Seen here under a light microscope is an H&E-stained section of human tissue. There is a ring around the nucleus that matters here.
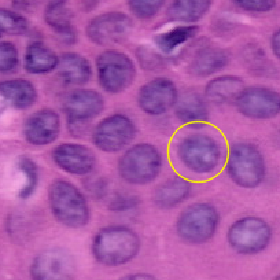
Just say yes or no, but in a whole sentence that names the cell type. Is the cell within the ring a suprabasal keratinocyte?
Yes, that is right: the cell within the ring is a suprabasal keratinocyte.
